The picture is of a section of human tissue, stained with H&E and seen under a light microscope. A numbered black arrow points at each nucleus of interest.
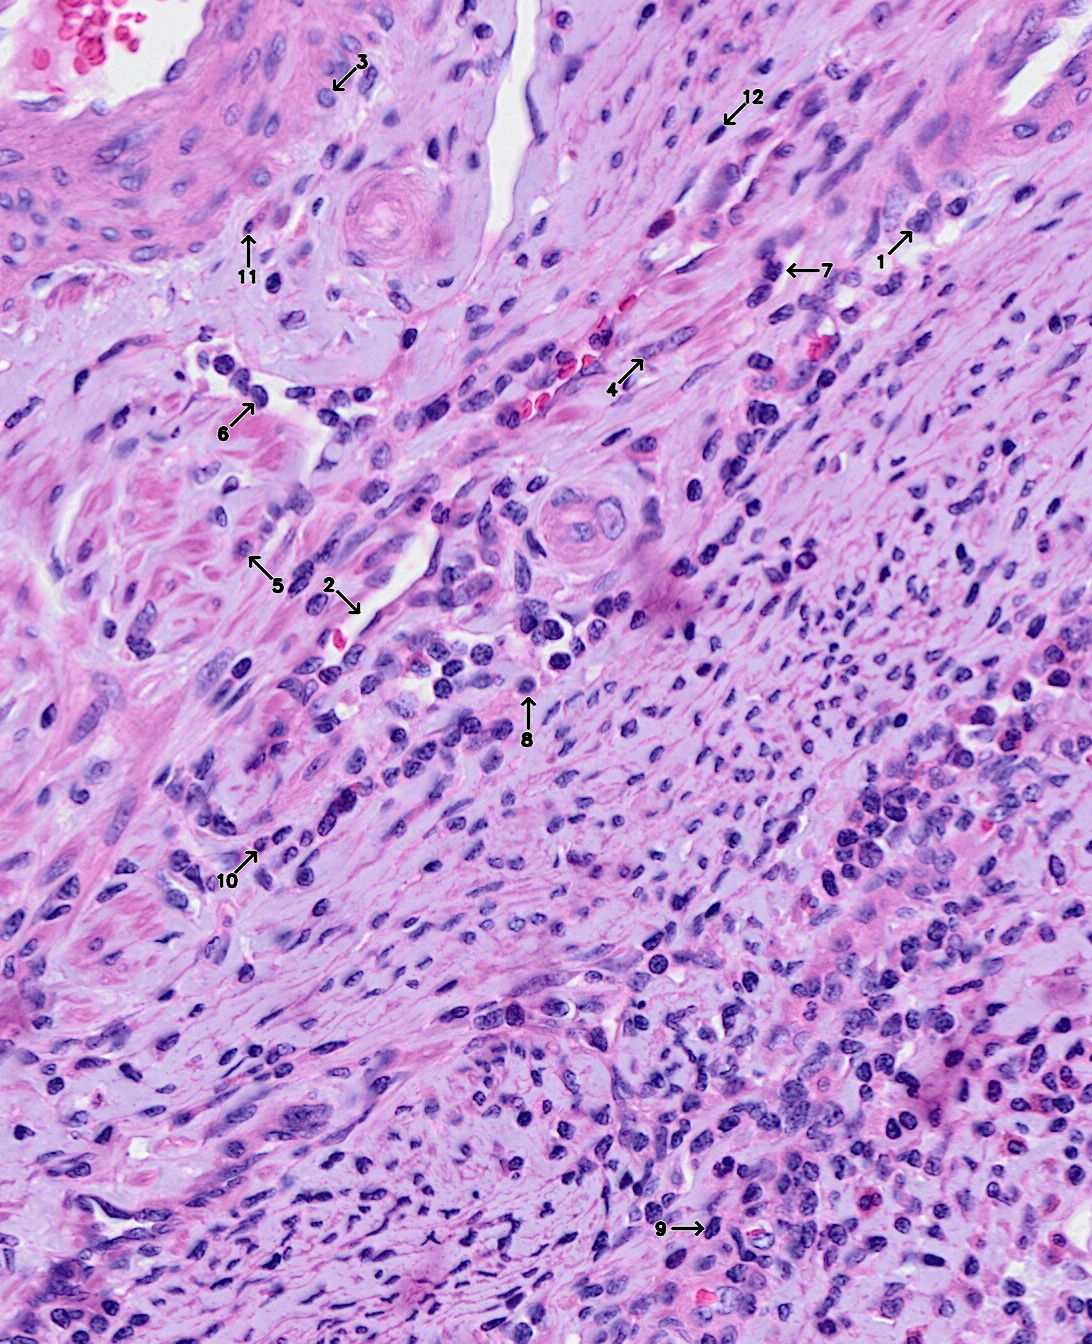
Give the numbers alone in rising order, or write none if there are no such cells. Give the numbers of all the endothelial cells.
2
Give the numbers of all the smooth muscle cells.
3, 4, 5, 11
